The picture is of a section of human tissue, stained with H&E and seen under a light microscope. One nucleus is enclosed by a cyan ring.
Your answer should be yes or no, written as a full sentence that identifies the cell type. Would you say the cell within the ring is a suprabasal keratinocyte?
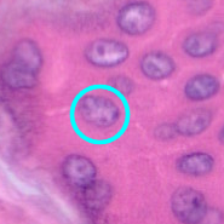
Yes, the cell within the ring is a suprabasal keratinocyte; nothing to add.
